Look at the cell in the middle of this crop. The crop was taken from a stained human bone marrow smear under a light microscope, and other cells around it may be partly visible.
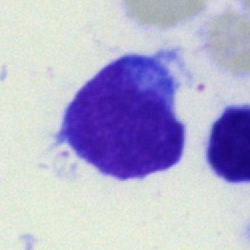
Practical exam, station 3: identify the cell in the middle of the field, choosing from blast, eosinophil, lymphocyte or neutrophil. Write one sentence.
The cell the crop is centered on is a blast.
